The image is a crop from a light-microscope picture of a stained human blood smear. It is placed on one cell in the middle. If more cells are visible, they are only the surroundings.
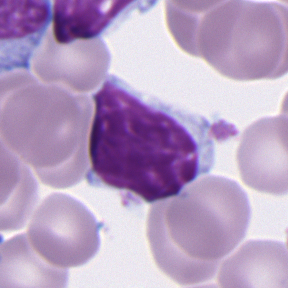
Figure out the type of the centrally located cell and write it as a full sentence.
The cell at the centre of the field is a typical lymphocyte.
